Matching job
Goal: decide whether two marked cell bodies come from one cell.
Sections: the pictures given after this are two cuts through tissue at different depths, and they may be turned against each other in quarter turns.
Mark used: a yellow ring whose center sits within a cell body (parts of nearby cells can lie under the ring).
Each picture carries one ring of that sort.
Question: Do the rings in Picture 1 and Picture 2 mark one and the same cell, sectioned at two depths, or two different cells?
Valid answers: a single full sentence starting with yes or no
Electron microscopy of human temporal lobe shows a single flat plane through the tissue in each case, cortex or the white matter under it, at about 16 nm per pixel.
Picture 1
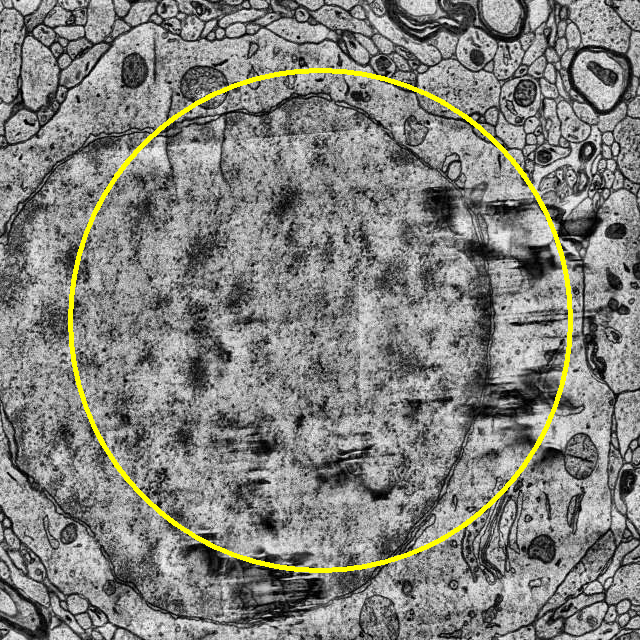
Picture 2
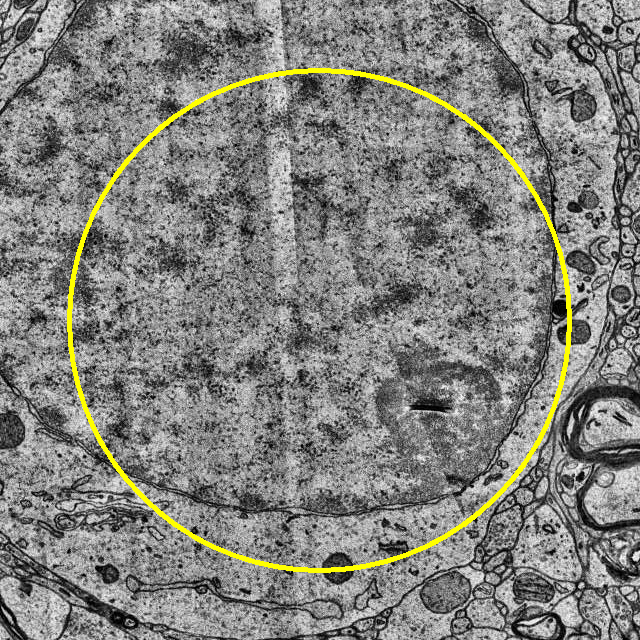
Yes, the second ring marks the same cell as the first.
